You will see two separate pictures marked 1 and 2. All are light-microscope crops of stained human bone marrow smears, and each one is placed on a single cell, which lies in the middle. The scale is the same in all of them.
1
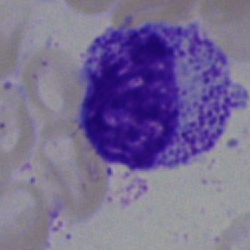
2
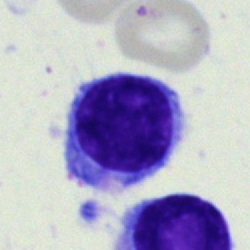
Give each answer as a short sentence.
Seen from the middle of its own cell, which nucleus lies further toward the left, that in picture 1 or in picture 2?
Seen within its cell, the nucleus in picture 1 lies further toward the left.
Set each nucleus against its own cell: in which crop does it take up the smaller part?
Of the two, the nucleus in picture 1 leaves more room for cytoplasm.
